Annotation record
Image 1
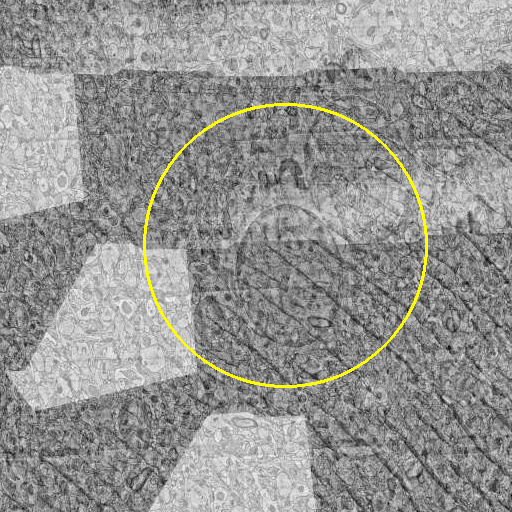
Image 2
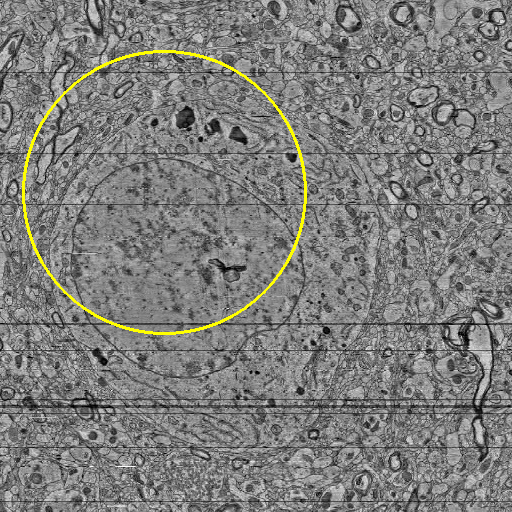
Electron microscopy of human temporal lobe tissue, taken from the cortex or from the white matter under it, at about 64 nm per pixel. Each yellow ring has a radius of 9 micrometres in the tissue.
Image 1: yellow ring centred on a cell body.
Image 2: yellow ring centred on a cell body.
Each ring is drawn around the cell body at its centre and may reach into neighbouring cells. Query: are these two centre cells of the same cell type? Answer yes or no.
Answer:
no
